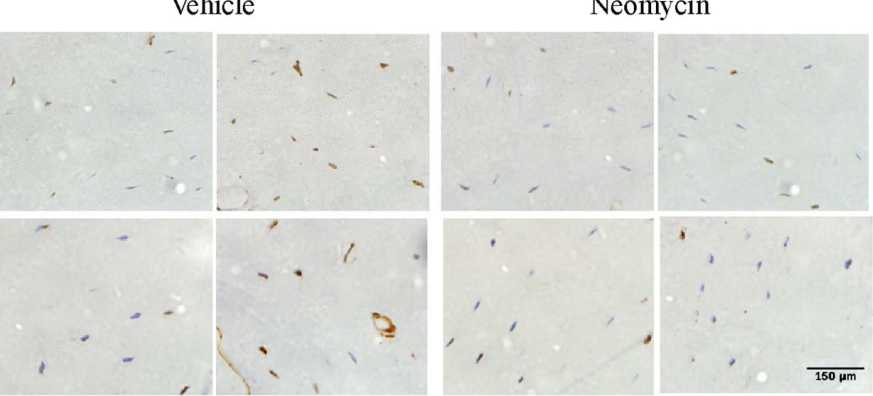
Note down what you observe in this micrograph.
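Across the fields, small elongated cells lie singly and well apart in a pale, smooth, largely cell-free matrix. Each cell is a thin spindle or oval shape, and many show only a blue-stained nucleus, while others are stained brown. A few brown ring-like and linear outlines also cross the matrix in some fields. These isolated cells embedded in mineralized matrix are osteocytes, some of them positive for the stain.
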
